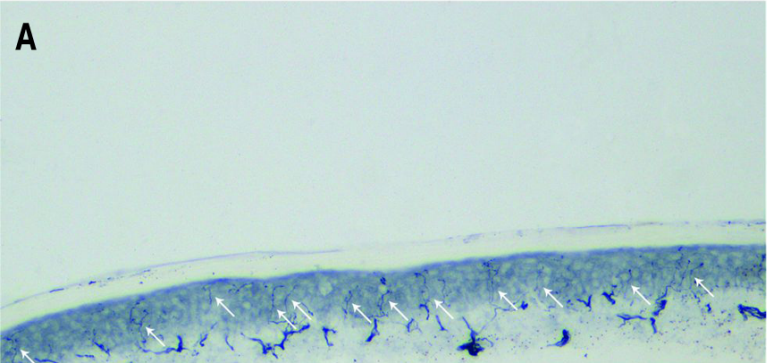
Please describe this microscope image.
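Section of skin showing a stratified epidermis of rounded, faintly blue cells beneath a thin pale outer layer. Fine, beaded dark blue nerve fibres rise from a plexus just under the epidermis and run nearly perpendicular into the epidermis, spaced at fairly regular intervals along it. Below, the dermis is pale and loose, with scattered short, darker blue fibre fragments.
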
